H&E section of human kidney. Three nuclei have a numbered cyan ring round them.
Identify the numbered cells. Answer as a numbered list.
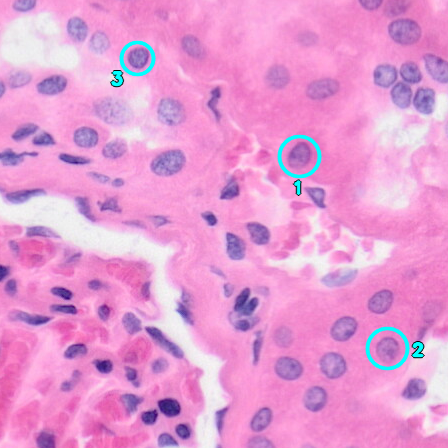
1. proximal tubule cell
2. proximal tubule cell
3. loop of Henle or distal tubule cell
